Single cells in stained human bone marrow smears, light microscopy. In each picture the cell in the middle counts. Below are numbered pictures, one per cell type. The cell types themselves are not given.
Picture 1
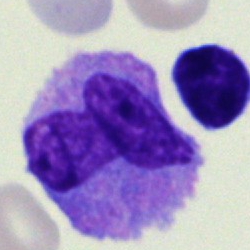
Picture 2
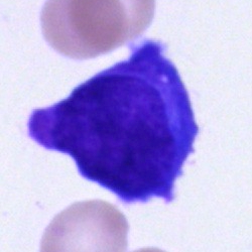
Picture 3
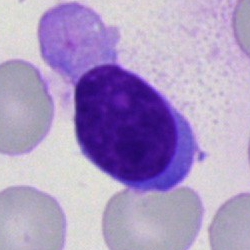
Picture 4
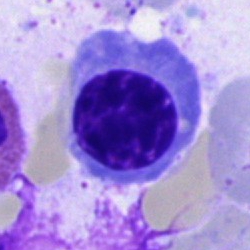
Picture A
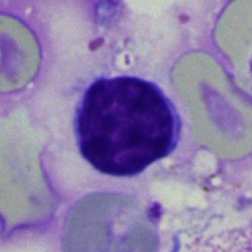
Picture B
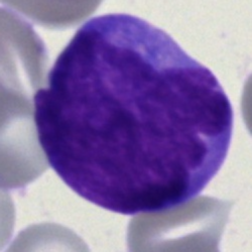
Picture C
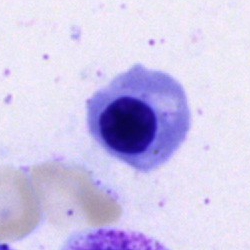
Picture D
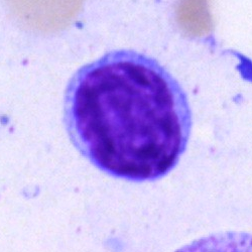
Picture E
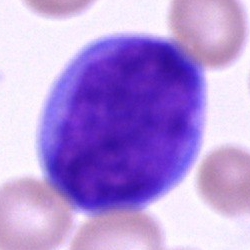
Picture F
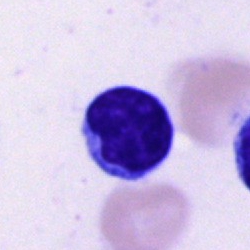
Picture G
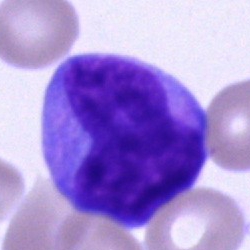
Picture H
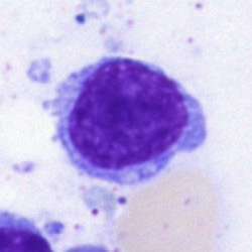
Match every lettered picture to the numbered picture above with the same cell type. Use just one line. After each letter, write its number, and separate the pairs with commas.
A 3, B 2, C 4, D 3, E 2, F 3, G 2, H 3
